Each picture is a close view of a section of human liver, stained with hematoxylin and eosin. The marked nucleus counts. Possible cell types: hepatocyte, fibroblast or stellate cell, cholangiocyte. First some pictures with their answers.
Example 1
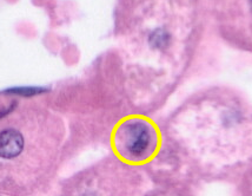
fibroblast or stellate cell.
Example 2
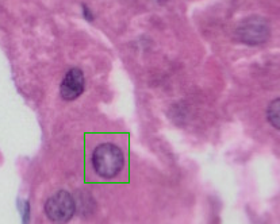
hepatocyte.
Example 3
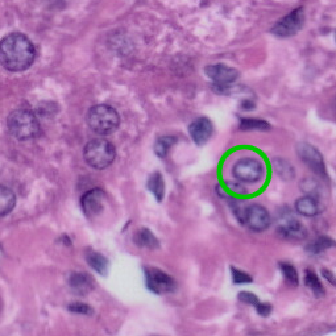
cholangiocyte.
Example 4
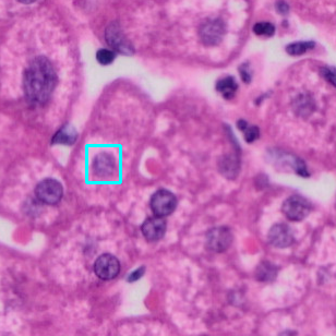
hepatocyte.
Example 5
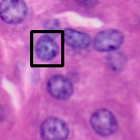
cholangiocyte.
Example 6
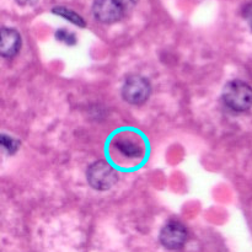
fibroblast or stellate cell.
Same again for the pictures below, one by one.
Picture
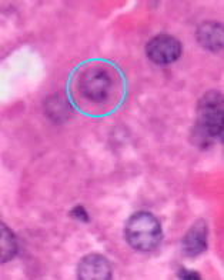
hepatocyte.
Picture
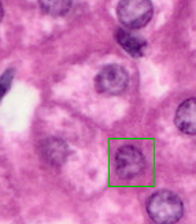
hepatocyte.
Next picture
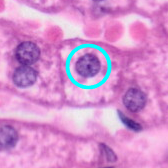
hepatocyte.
